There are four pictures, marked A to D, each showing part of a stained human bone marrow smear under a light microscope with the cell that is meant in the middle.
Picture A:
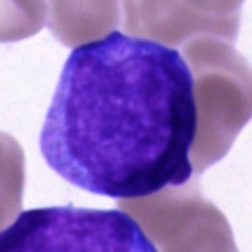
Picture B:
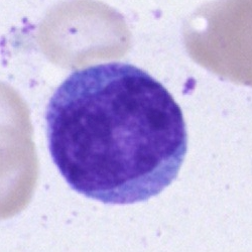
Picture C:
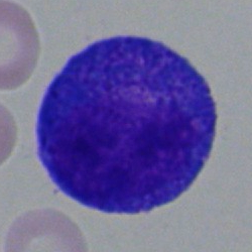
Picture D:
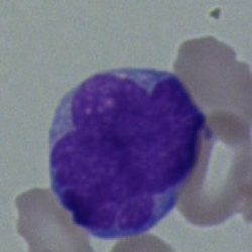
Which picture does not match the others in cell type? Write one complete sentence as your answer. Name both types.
The others show blasts, but picture C shows a promyelocyte.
